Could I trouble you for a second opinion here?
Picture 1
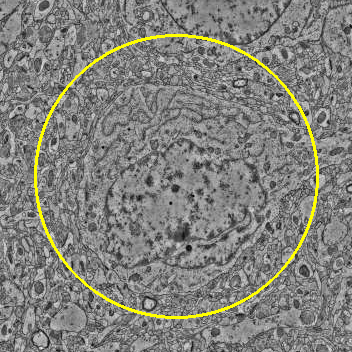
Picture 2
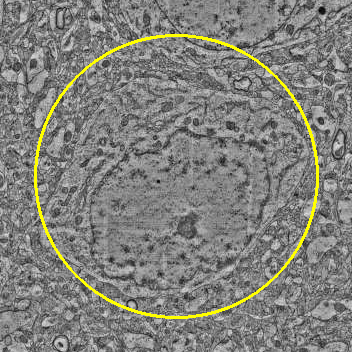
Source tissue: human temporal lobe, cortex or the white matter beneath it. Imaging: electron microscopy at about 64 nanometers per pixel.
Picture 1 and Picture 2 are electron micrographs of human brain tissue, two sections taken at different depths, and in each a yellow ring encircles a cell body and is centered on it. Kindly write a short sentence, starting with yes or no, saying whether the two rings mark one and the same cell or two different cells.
Yes, both yellow rings were placed on the same cell.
